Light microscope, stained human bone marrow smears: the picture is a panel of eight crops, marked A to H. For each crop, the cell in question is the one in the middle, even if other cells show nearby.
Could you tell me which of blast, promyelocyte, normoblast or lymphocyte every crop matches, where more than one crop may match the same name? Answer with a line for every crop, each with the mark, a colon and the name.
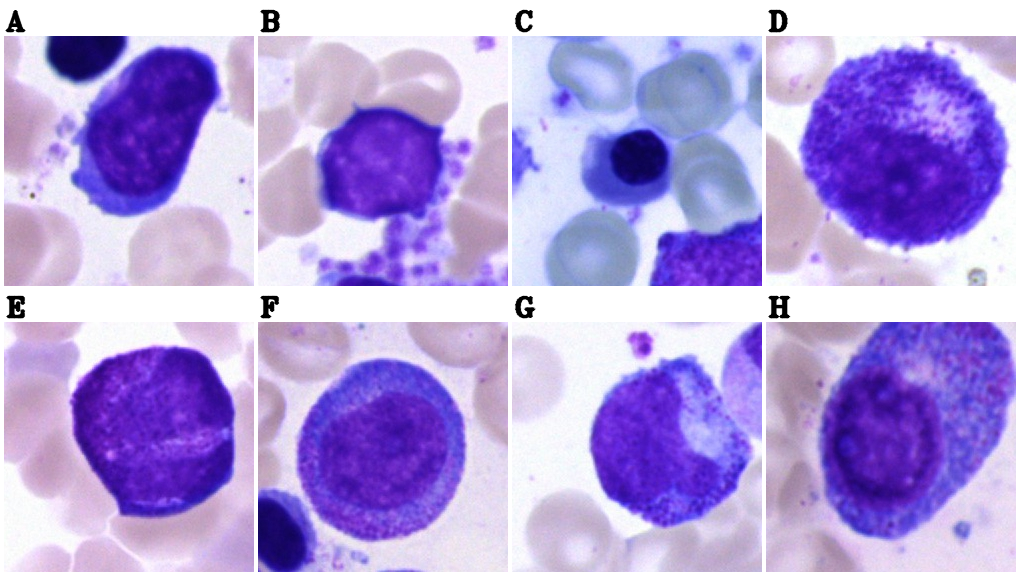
A: blast
B: lymphocyte
C: normoblast
D: promyelocyte
E: blast
F: promyelocyte
G: promyelocyte
H: promyelocyte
